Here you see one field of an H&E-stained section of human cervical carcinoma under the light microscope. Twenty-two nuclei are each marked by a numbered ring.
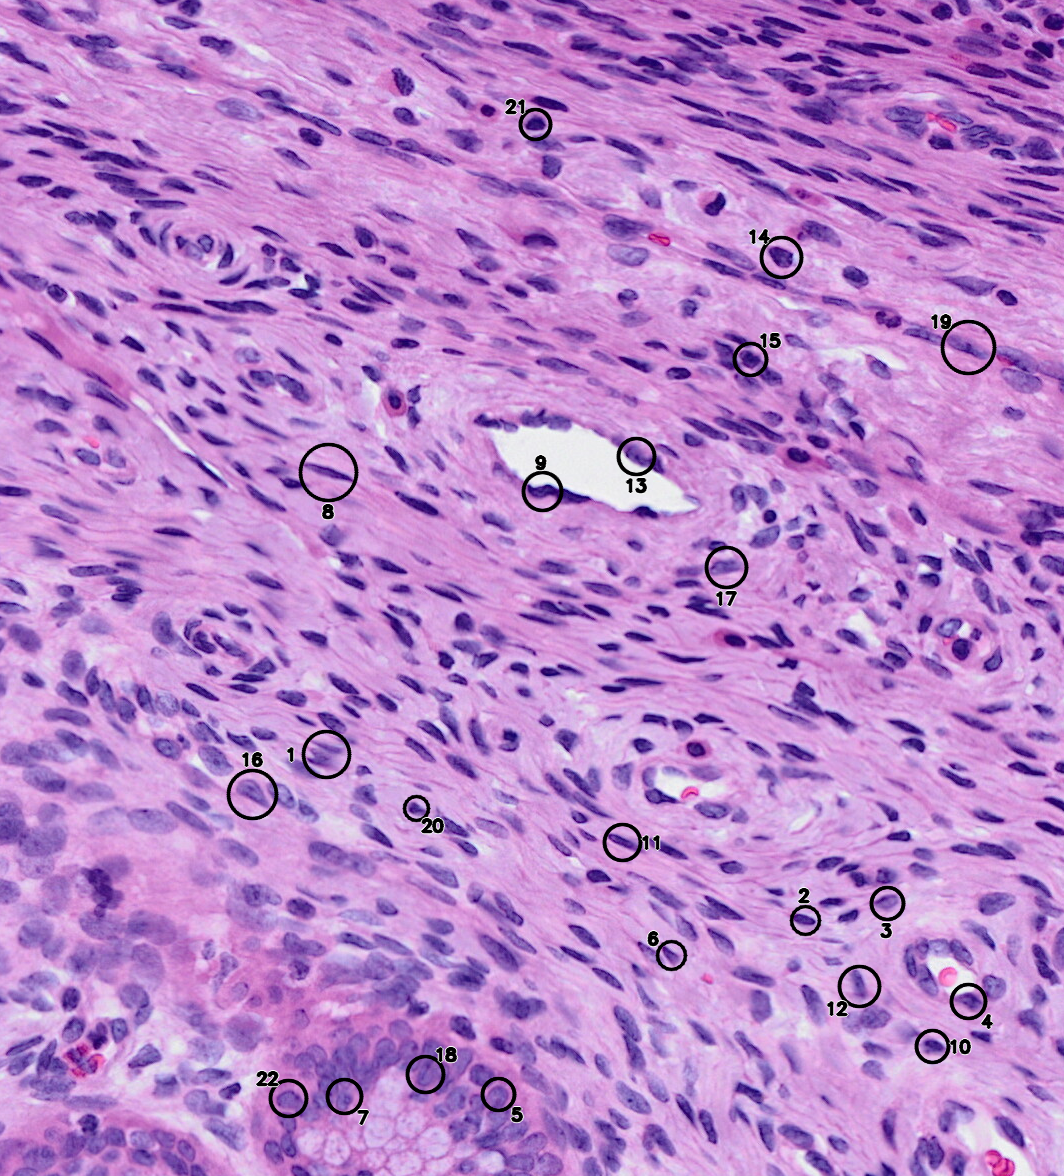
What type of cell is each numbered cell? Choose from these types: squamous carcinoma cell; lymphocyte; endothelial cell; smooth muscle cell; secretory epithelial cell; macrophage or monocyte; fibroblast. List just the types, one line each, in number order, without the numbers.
fibroblast
fibroblast
fibroblast
endothelial cell
secretory epithelial cell
fibroblast
secretory epithelial cell
fibroblast
endothelial cell
lymphocyte
fibroblast
fibroblast
endothelial cell
lymphocyte
lymphocyte
endothelial cell
fibroblast
secretory epithelial cell
endothelial cell
fibroblast
lymphocyte
secretory epithelial cell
